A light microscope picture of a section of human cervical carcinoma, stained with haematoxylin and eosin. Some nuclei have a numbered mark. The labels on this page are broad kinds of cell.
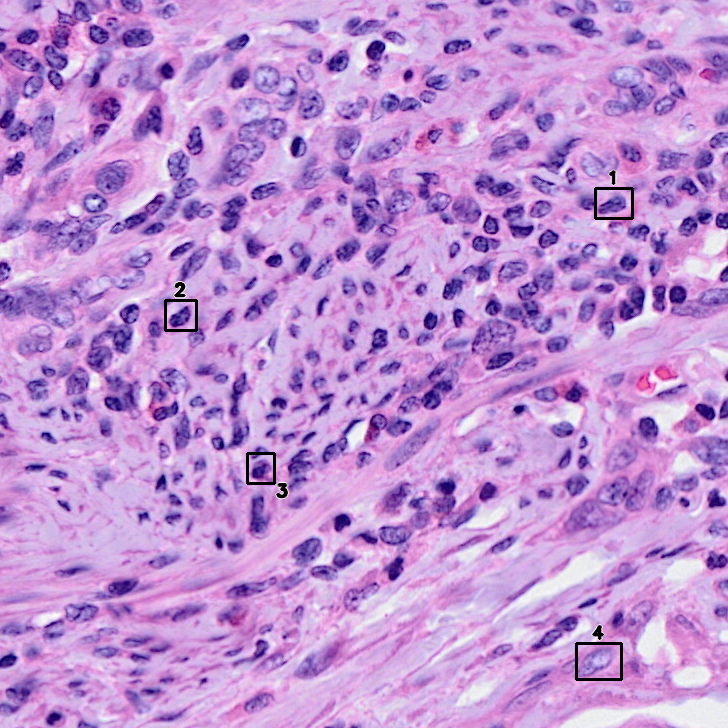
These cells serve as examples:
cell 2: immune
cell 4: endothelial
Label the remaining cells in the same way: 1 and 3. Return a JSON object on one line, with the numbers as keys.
{"1": "immune", "3": "immune"}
